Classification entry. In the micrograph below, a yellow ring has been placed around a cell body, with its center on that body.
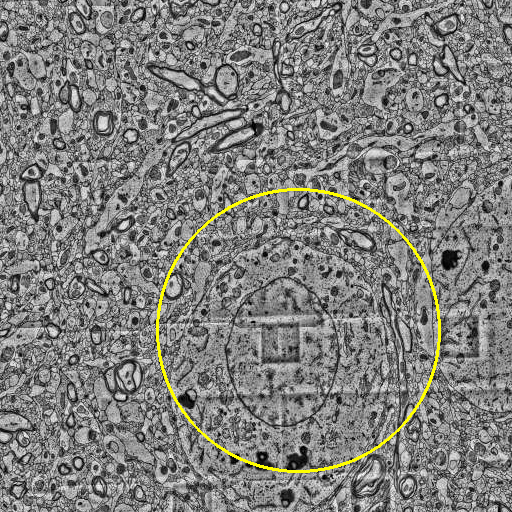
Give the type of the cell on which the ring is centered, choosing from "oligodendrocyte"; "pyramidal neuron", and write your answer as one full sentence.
The cell body at the center of the yellow ring belongs to a pyramidal neuron.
